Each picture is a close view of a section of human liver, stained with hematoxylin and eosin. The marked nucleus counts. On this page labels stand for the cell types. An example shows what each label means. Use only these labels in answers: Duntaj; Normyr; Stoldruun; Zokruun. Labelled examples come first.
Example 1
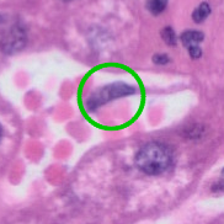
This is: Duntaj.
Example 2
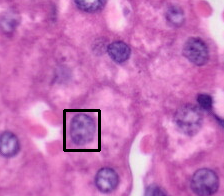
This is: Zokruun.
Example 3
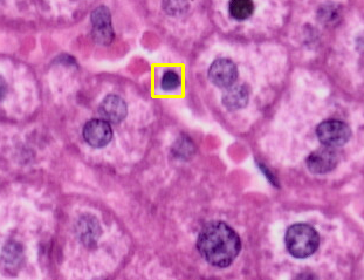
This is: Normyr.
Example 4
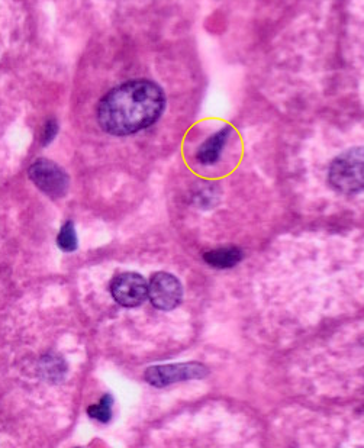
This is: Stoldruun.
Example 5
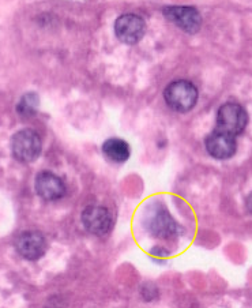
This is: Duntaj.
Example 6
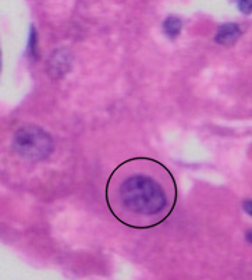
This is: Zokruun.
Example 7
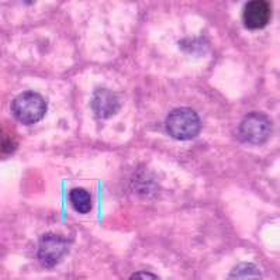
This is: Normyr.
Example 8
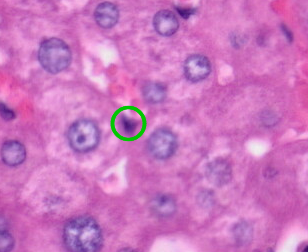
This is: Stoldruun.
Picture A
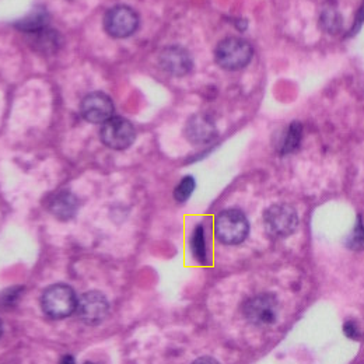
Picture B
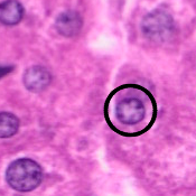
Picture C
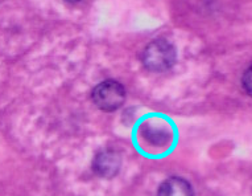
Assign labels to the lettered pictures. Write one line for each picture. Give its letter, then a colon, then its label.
A: Stoldruun.
B: Zokruun.
C: Duntaj.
